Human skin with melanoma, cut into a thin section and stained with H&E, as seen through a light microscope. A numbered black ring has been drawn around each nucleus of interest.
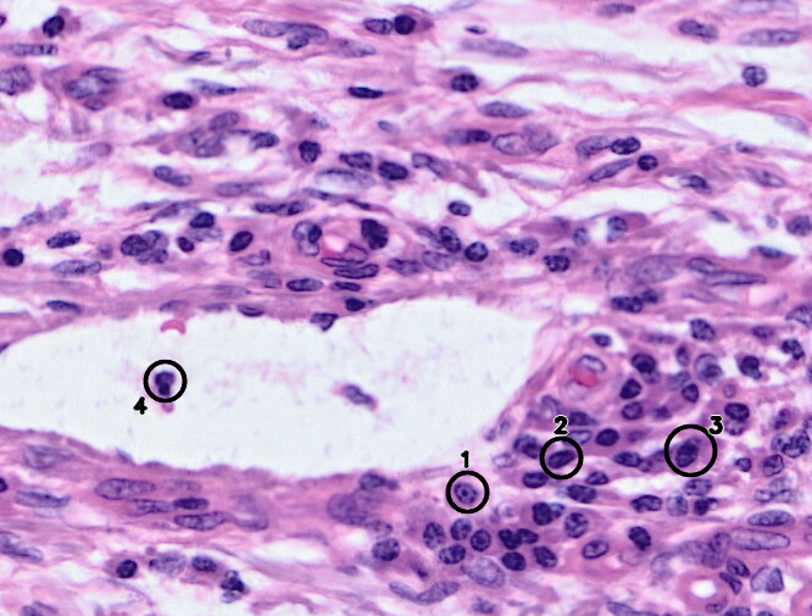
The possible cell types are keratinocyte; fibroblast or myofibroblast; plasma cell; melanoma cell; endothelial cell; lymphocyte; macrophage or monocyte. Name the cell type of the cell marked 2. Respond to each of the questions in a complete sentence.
Cell 2 in the field is a plasma cell.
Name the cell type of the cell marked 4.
The expected answer is that cell 4 is a lymphocyte.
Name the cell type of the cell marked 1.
Cell 1 in the field of view is a plasma cell.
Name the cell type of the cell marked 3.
As for number 3, that cell is a plasma cell.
